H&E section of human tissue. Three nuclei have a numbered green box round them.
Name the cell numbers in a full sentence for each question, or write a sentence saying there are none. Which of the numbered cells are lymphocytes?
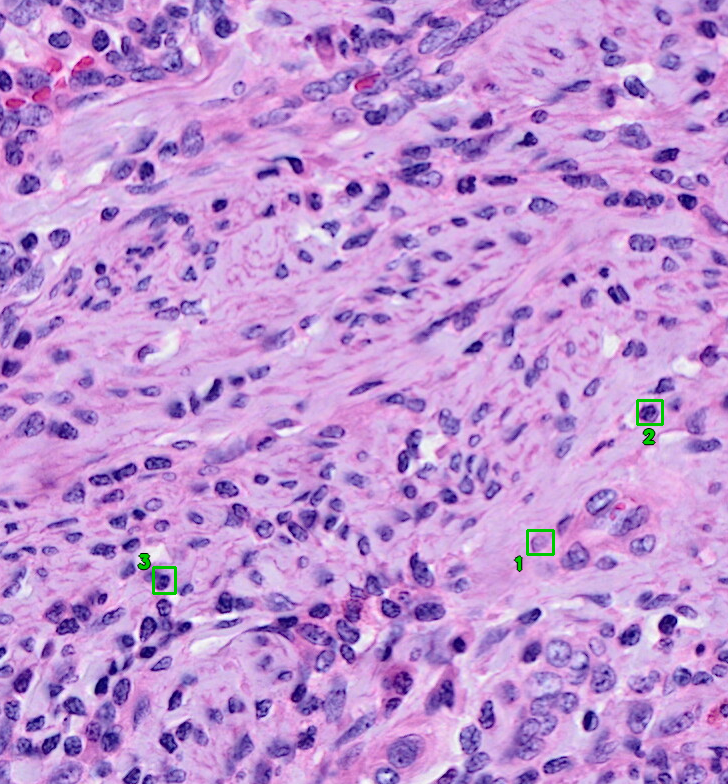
Cells 2 and 3 share one type; they are lymphocytes.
